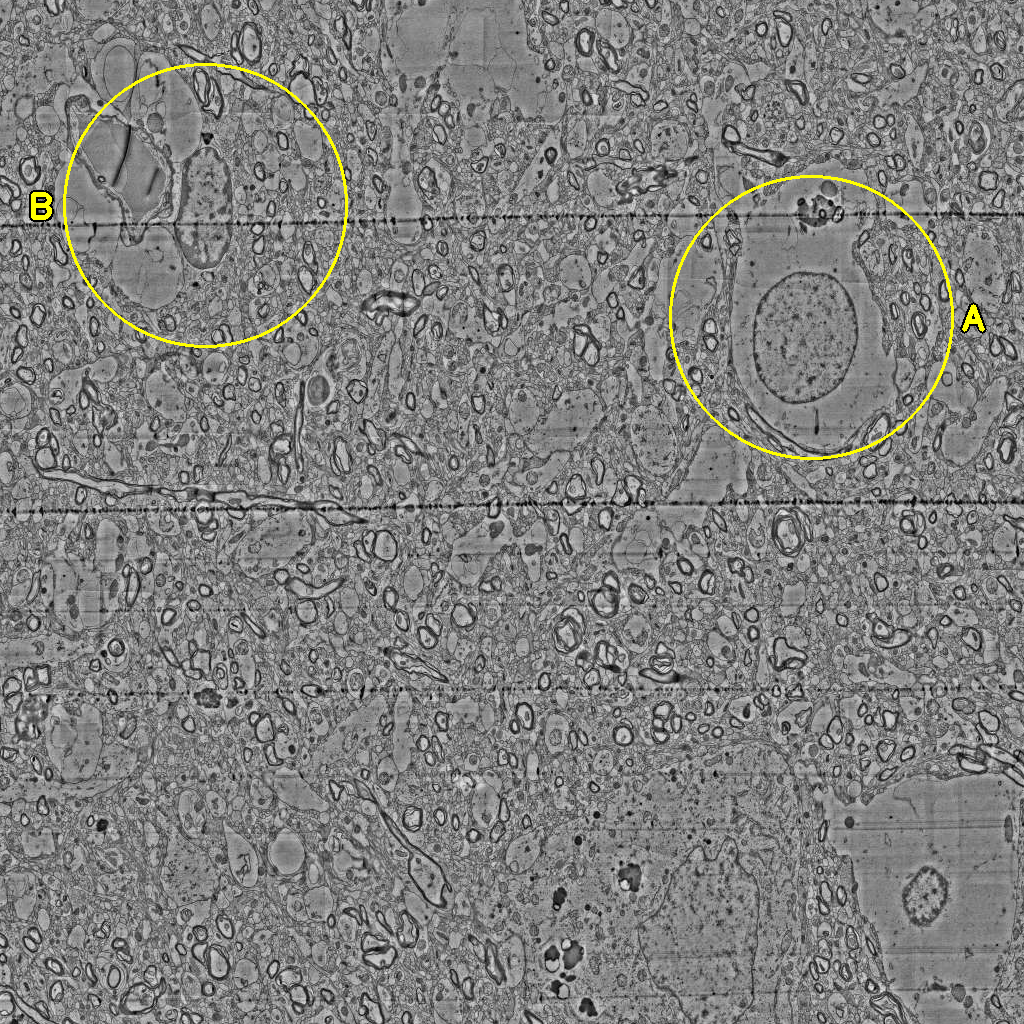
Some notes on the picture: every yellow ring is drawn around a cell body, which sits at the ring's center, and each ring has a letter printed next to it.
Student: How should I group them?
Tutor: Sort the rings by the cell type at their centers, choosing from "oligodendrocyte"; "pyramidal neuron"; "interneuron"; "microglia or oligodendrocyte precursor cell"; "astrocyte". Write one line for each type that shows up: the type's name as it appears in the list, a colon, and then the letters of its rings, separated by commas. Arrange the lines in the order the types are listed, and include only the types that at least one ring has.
microglia or oligodendrocyte precursor cell: B
astrocyte: A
